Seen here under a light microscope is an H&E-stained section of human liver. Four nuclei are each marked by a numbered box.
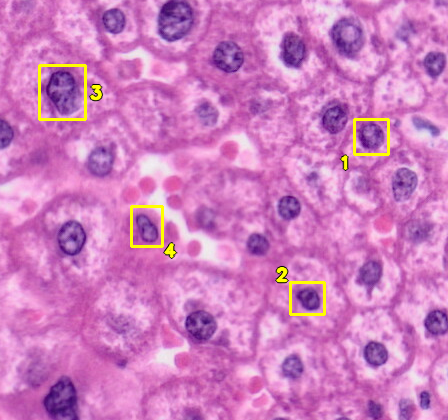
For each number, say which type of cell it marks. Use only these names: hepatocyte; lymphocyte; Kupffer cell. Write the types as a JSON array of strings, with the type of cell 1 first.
["hepatocyte", "hepatocyte", "hepatocyte", "Kupffer cell"]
